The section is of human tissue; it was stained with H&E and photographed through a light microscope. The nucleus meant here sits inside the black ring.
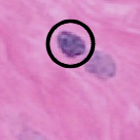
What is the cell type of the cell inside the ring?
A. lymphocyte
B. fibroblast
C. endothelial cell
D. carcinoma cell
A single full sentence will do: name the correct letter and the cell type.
Option A correctly labels the cell inside the ring as a lymphocyte.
